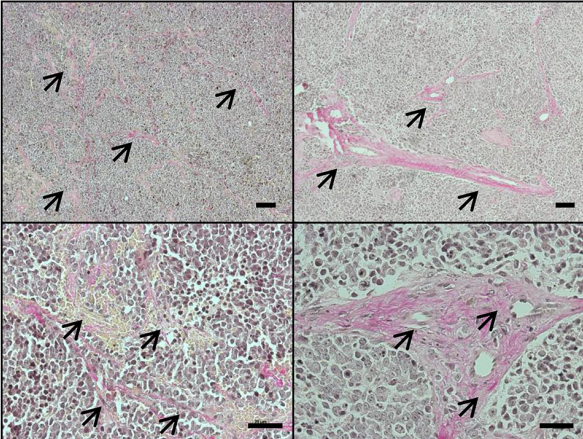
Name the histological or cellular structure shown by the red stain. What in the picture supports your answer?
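Collagen deposition. Bright pink-red fibrous bands run between sheets of tumour cells. On the right the red bands are broad and surround small vessel lumina.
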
